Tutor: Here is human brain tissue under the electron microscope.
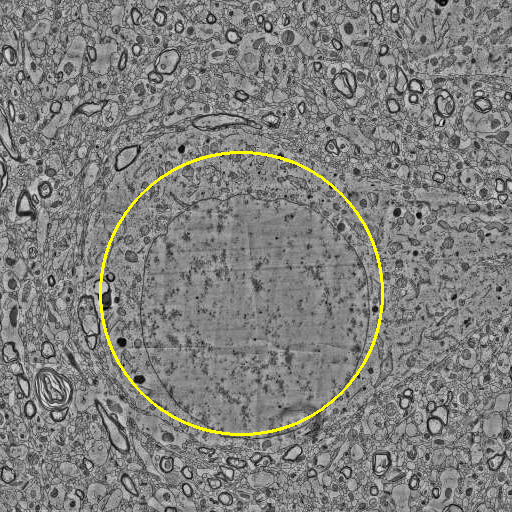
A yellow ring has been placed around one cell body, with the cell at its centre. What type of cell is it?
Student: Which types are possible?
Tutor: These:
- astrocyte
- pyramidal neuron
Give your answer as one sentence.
What the ring picks out here is a pyramidal neuron.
